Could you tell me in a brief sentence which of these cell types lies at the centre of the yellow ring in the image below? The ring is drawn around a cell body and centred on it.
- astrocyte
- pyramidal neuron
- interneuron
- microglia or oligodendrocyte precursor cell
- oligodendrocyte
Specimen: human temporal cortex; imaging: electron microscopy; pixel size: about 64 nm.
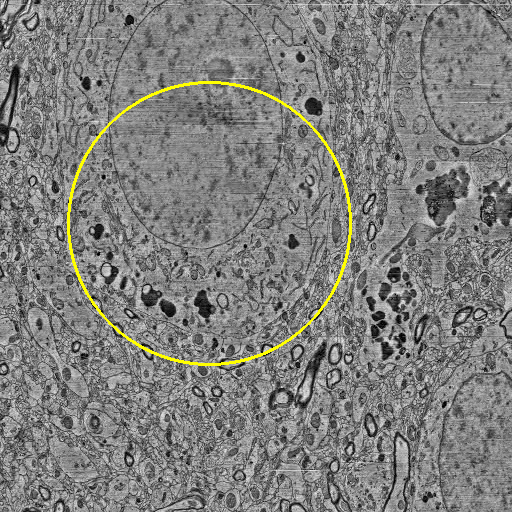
The cell centred in the ring is a pyramidal neuron.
